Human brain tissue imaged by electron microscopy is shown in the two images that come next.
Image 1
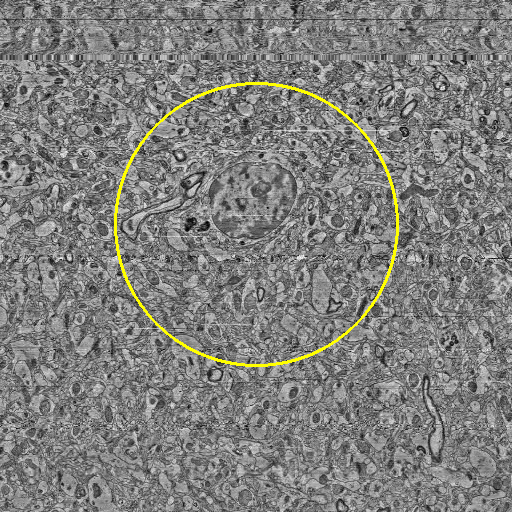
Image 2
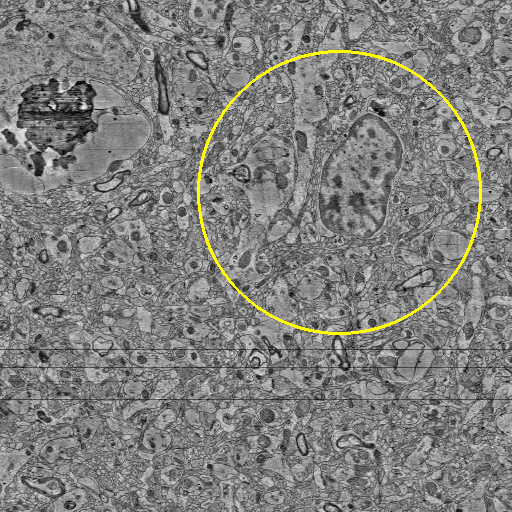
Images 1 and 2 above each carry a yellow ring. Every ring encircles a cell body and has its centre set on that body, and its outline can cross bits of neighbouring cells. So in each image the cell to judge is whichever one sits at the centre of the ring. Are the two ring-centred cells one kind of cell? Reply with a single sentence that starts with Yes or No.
Yes, in Image 1 and Image 2 the cells at the centres of their rings fall into one type.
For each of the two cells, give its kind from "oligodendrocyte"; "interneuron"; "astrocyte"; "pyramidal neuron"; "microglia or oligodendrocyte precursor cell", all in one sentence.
The first and the second cell are each a microglial cell or oligodendrocyte precursor cell.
